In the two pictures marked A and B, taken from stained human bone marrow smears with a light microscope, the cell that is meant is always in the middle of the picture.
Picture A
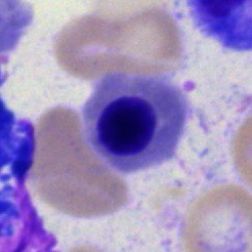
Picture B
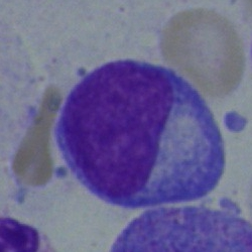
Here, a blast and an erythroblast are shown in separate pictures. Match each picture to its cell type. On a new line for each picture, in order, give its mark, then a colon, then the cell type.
A: erythroblast
B: blast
